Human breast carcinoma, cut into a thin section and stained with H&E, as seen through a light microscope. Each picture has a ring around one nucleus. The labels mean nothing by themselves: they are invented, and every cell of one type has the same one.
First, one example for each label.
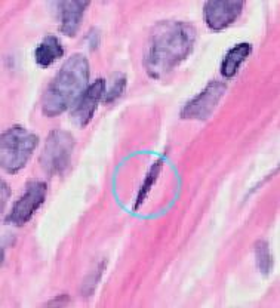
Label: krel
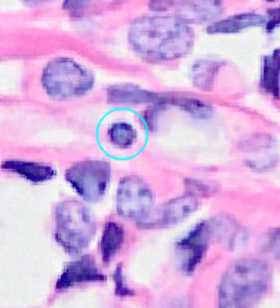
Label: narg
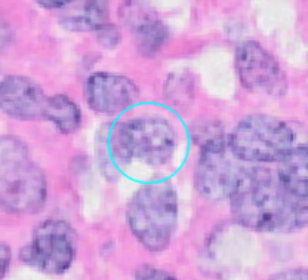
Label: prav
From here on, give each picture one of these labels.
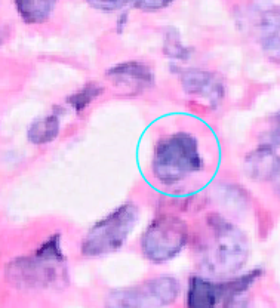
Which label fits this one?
prav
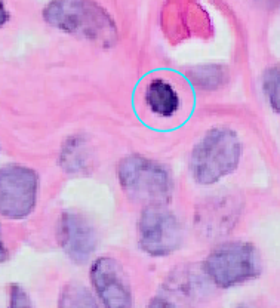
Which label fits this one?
narg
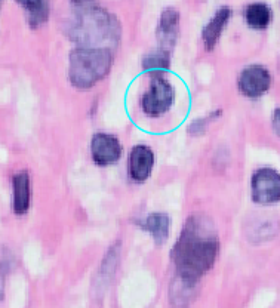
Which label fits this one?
narg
